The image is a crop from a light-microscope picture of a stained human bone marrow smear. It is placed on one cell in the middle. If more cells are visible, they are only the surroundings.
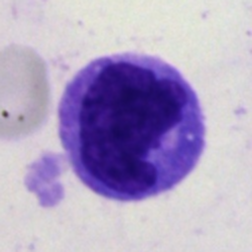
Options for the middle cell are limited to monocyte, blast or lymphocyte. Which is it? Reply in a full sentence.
On this slide crop, the central cell is a monocyte.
